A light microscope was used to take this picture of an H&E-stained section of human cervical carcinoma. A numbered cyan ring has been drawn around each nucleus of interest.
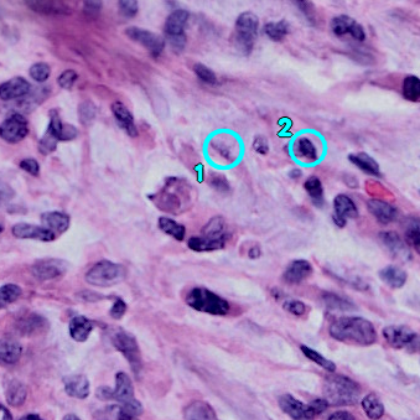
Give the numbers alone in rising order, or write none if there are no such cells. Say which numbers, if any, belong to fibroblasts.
1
